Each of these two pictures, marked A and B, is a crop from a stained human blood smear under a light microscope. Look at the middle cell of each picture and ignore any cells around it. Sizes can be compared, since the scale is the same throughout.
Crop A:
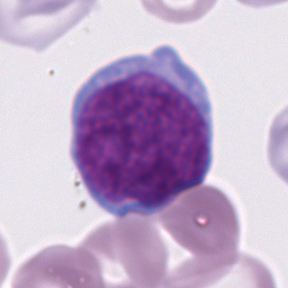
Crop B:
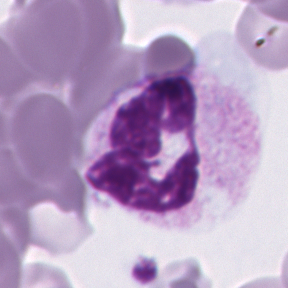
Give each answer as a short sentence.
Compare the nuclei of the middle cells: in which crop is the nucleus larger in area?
The nucleus in crop A is larger, with about 1.5 times the area of the one in crop B.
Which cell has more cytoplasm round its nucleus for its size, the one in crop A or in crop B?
In crop B the nucleus takes up the smaller part of its cell.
